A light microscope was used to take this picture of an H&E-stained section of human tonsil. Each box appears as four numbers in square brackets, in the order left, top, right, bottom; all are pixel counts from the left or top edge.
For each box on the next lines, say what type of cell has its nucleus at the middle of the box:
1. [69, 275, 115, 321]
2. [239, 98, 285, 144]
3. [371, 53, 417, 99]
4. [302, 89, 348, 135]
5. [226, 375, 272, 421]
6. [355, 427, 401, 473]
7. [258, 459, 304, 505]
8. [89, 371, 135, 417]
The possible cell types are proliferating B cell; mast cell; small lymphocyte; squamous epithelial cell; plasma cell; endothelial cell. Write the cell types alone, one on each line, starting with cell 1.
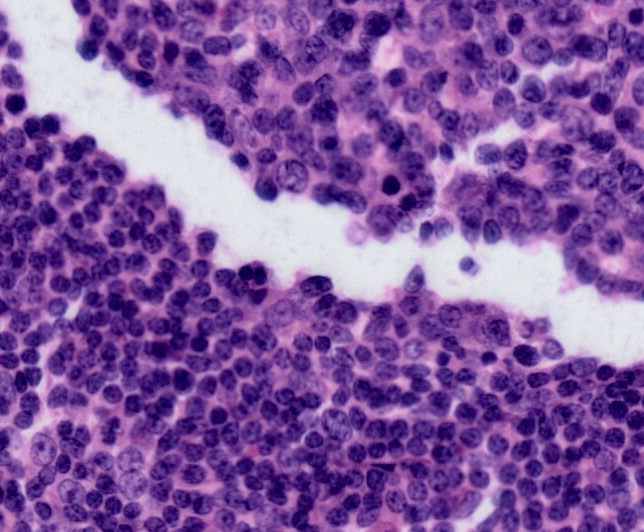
small lymphocyte
proliferating B cell
proliferating B cell
proliferating B cell
small lymphocyte
small lymphocyte
small lymphocyte
small lymphocyte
